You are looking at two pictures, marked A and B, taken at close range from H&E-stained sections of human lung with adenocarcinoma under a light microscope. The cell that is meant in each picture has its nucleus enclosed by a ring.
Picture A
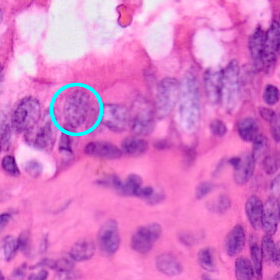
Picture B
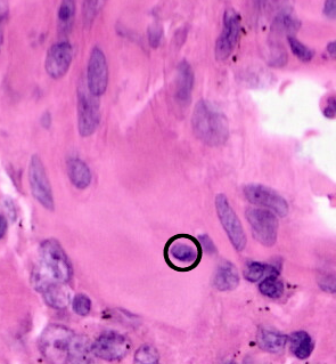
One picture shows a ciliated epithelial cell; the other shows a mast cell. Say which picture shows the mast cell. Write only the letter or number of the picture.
B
